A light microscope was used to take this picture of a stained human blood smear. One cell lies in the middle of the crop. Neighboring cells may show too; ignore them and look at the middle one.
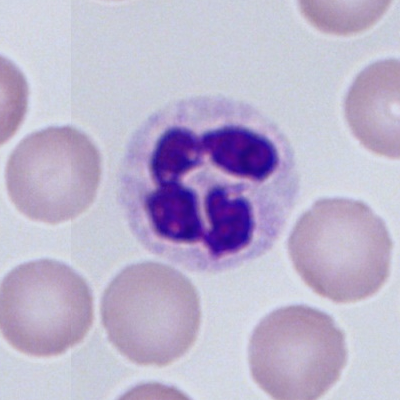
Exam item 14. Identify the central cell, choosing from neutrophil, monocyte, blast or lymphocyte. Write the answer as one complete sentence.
The central cell shown in this smear crop is a neutrophil.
